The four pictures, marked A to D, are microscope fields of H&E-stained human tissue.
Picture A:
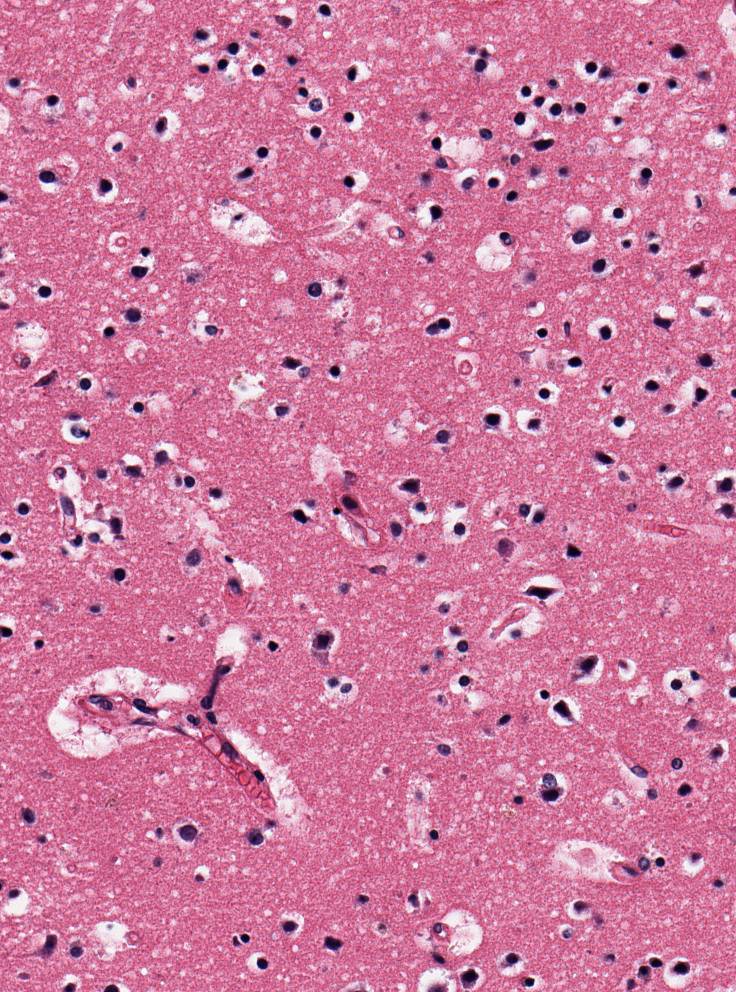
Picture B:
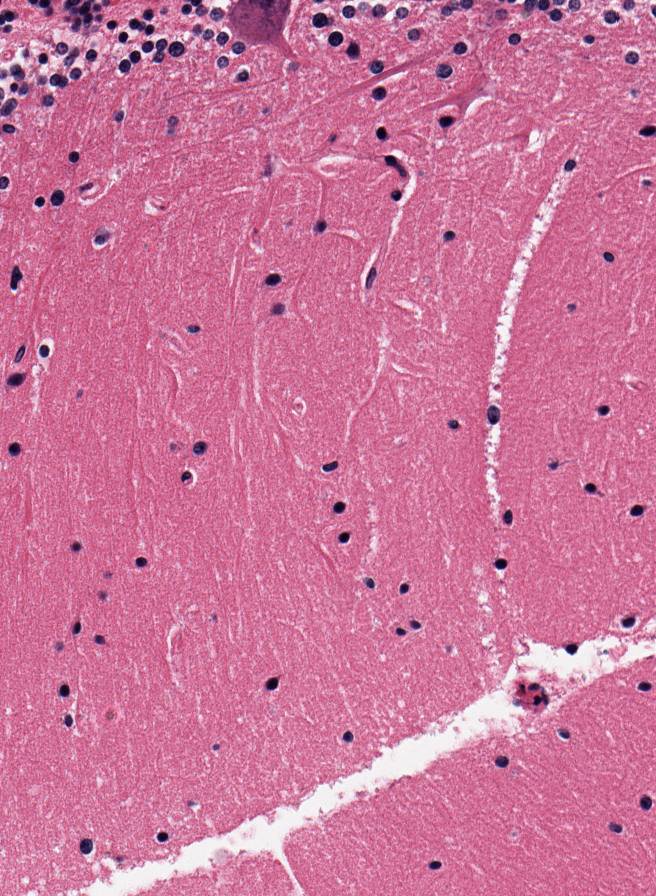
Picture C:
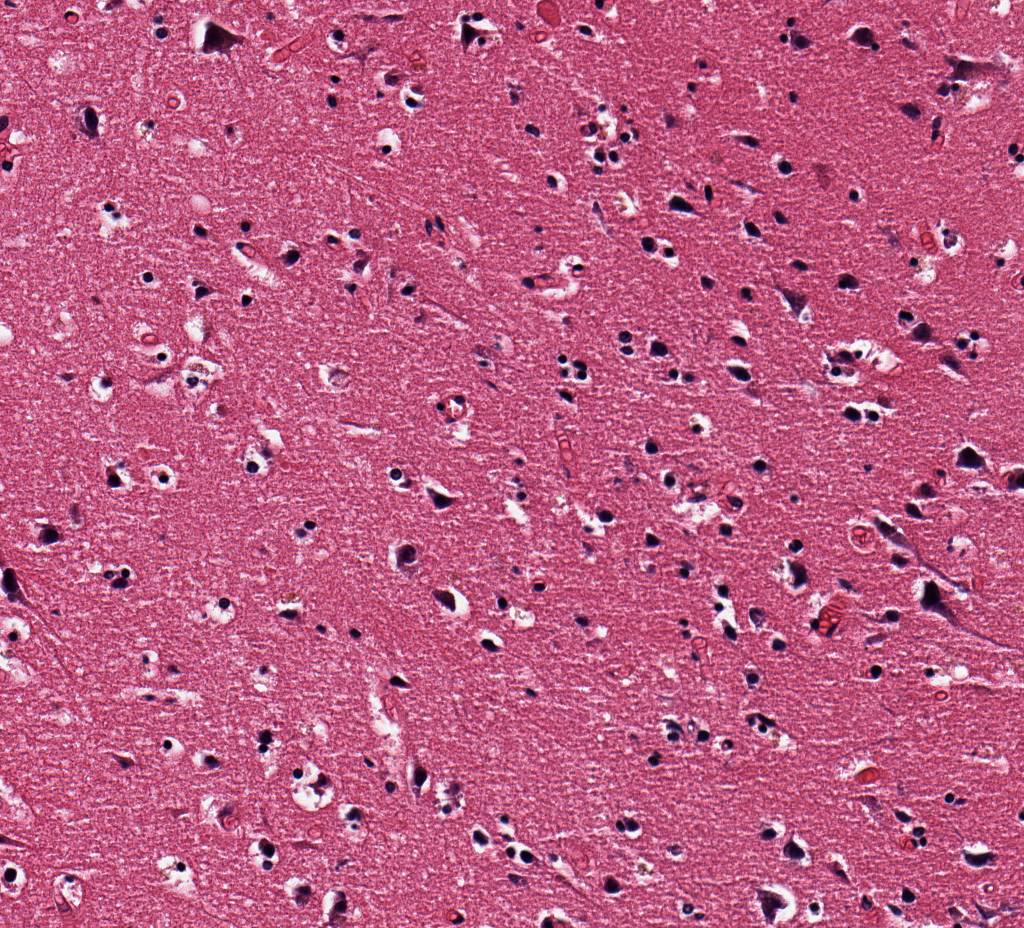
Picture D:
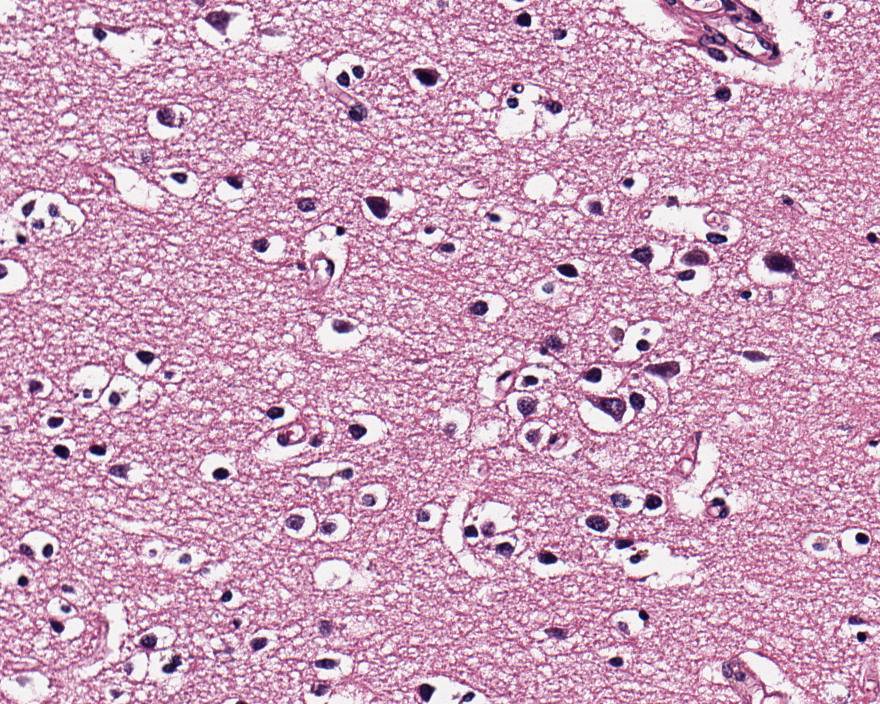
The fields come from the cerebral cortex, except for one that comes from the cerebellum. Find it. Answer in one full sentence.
The one that comes from the cerebellum is picture B.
